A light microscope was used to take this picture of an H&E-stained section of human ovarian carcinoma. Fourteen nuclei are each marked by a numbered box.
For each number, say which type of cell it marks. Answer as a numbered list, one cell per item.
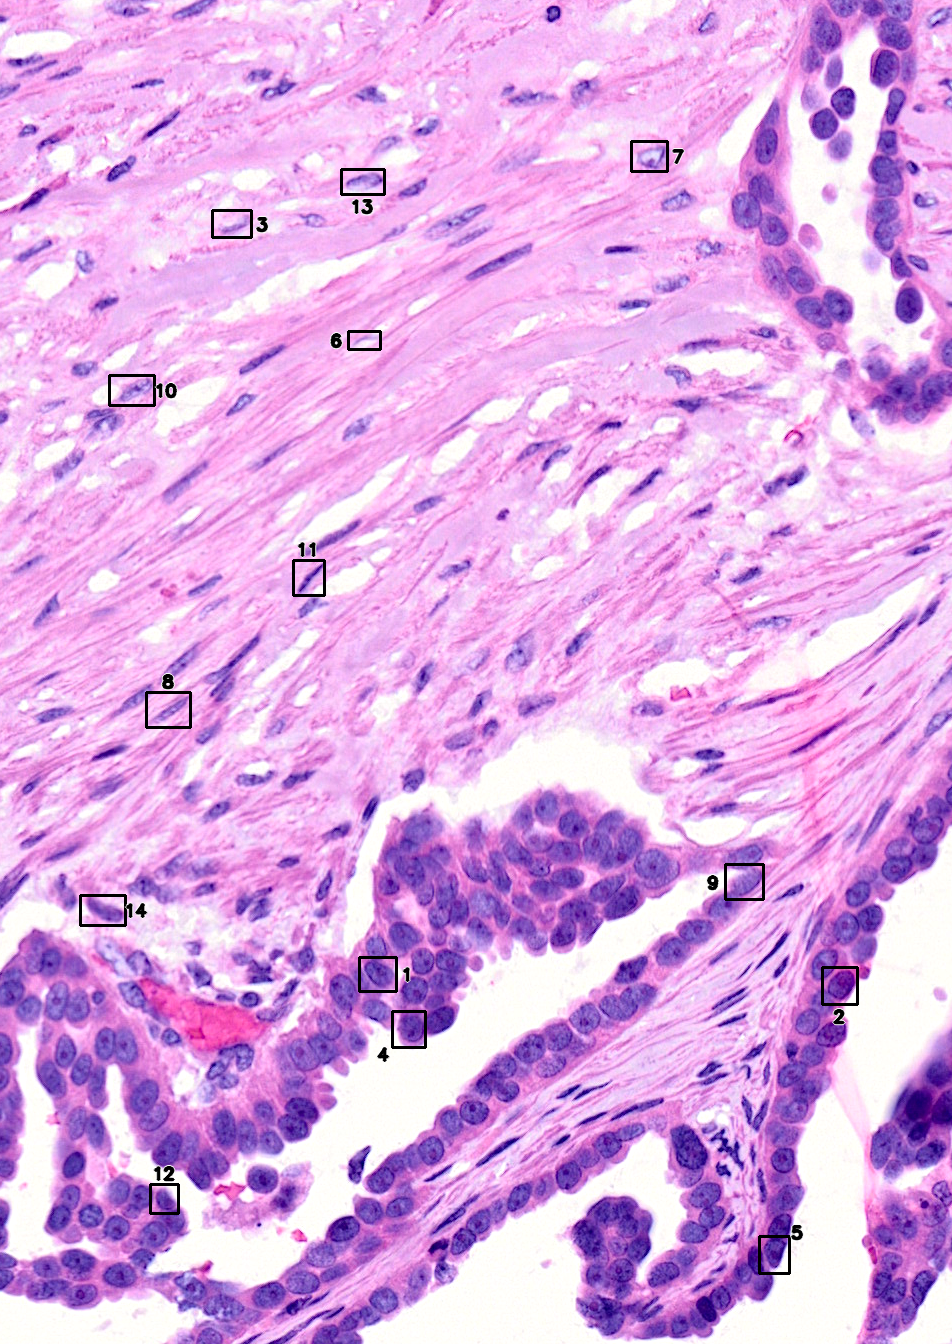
1. carcinoma cell
2. carcinoma cell
3. fibroblast
4. carcinoma cell
5. carcinoma cell
6. fibroblast
7. fibroblast
8. fibroblast
9. carcinoma cell
10. fibroblast
11. fibroblast
12. carcinoma cell
13. fibroblast
14. fibroblast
